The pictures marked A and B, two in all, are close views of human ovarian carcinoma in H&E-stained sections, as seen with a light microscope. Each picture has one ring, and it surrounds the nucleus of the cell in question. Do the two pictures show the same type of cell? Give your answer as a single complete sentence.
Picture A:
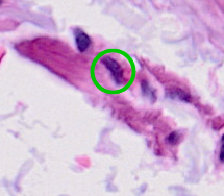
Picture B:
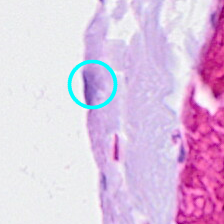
Yes, both are endothelial cells.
